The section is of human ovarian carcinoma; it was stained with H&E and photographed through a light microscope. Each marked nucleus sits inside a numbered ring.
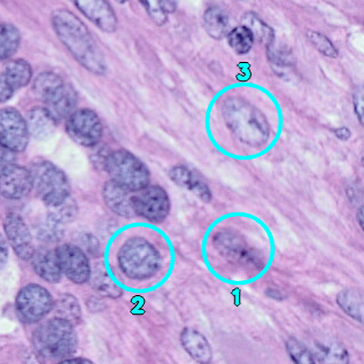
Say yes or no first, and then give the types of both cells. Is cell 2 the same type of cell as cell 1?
No, cell 2 is a carcinoma cell and cell 1 is a fibroblast.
